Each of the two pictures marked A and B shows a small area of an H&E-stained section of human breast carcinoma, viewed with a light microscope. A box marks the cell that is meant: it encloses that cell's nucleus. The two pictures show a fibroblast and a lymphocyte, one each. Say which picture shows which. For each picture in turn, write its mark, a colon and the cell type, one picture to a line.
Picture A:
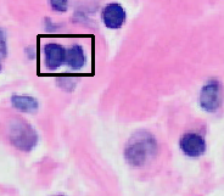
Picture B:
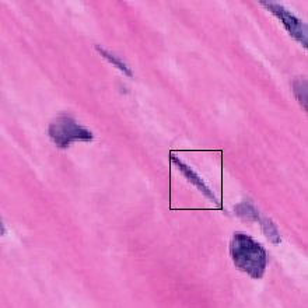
A: lymphocyte
B: fibroblast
